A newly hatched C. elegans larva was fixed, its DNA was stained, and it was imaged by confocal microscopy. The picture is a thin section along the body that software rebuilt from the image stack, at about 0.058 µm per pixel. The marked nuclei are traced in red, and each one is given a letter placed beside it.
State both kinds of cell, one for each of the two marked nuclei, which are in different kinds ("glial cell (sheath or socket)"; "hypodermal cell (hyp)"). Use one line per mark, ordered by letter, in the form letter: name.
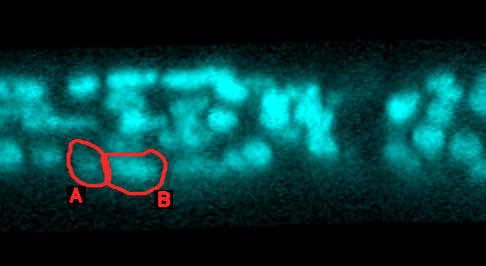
A: hypodermal cell (hyp)
B: glial cell (sheath or socket)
